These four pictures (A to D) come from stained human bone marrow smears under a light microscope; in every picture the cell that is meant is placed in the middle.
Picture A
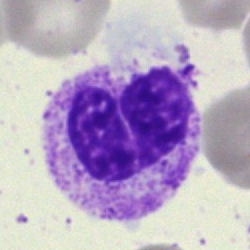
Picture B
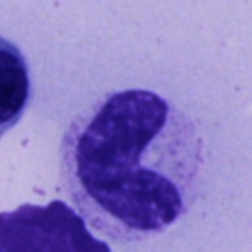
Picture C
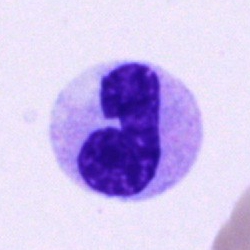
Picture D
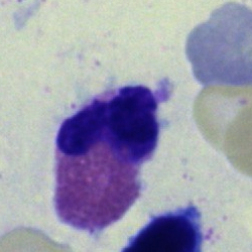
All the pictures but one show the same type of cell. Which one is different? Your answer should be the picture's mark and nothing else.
D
